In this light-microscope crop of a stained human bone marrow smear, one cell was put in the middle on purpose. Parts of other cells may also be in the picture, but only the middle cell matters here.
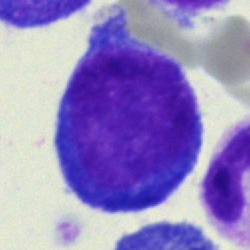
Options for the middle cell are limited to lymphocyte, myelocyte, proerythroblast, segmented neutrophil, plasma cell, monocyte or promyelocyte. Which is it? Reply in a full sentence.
Answering briefly, the cell in the middle is a proerythroblast.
